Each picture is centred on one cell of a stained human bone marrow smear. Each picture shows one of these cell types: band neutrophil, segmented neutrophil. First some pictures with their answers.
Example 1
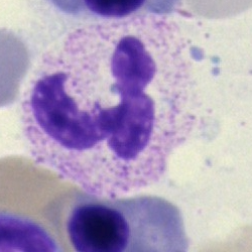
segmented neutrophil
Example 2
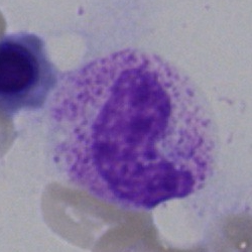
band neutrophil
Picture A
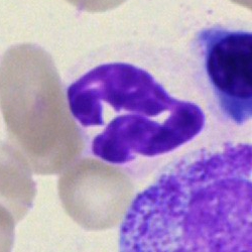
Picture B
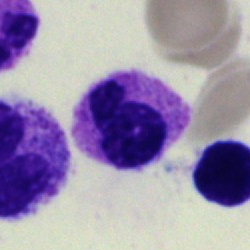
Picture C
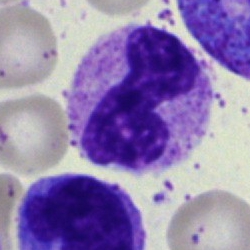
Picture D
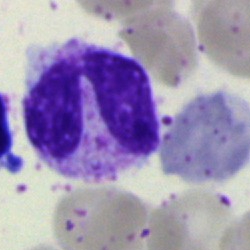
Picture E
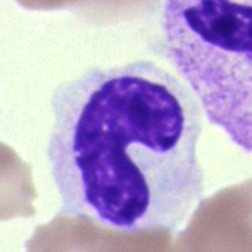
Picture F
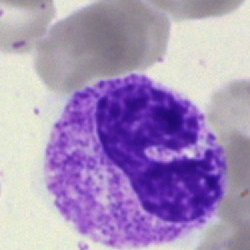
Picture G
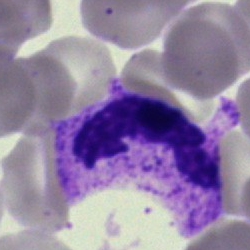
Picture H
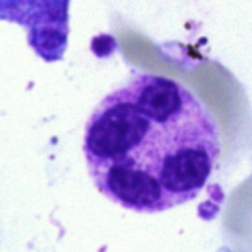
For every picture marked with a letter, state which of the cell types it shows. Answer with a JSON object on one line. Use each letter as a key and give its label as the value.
{"A": "segmented neutrophil", "B": "segmented neutrophil", "C": "band neutrophil", "D": "segmented neutrophil", "E": "band neutrophil", "F": "band neutrophil", "G": "segmented neutrophil", "H": "segmented neutrophil"}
